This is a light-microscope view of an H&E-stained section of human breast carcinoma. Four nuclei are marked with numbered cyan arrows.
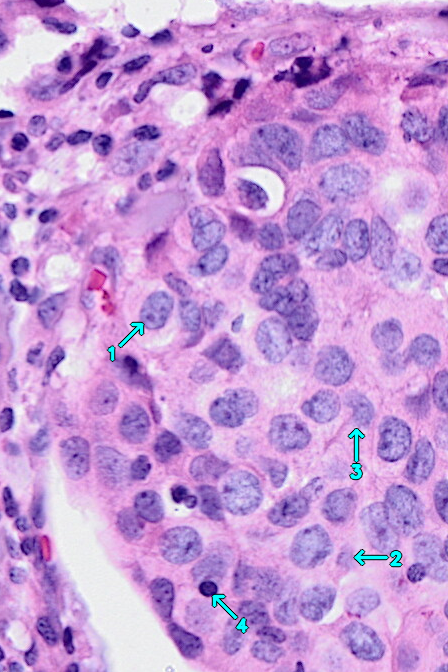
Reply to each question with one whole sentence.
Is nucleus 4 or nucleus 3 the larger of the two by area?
Number 3 is larger; its area is about 2.5 times that of number 4.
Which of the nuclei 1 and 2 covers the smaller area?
The smaller nucleus is 2, and 1 covers roughly 3 times its area.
